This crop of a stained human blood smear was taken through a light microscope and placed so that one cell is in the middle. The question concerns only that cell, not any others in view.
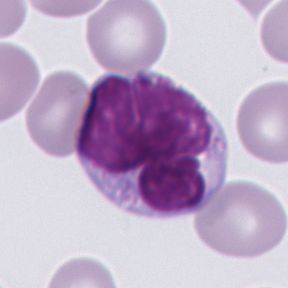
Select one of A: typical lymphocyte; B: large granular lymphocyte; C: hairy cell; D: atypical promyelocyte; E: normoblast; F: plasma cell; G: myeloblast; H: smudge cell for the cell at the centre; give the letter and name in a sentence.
Option B is correct in that the central cell is a large granular lymphocyte.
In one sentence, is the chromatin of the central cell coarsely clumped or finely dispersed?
The chromatin is fine, with no coarse clumping anywhere.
